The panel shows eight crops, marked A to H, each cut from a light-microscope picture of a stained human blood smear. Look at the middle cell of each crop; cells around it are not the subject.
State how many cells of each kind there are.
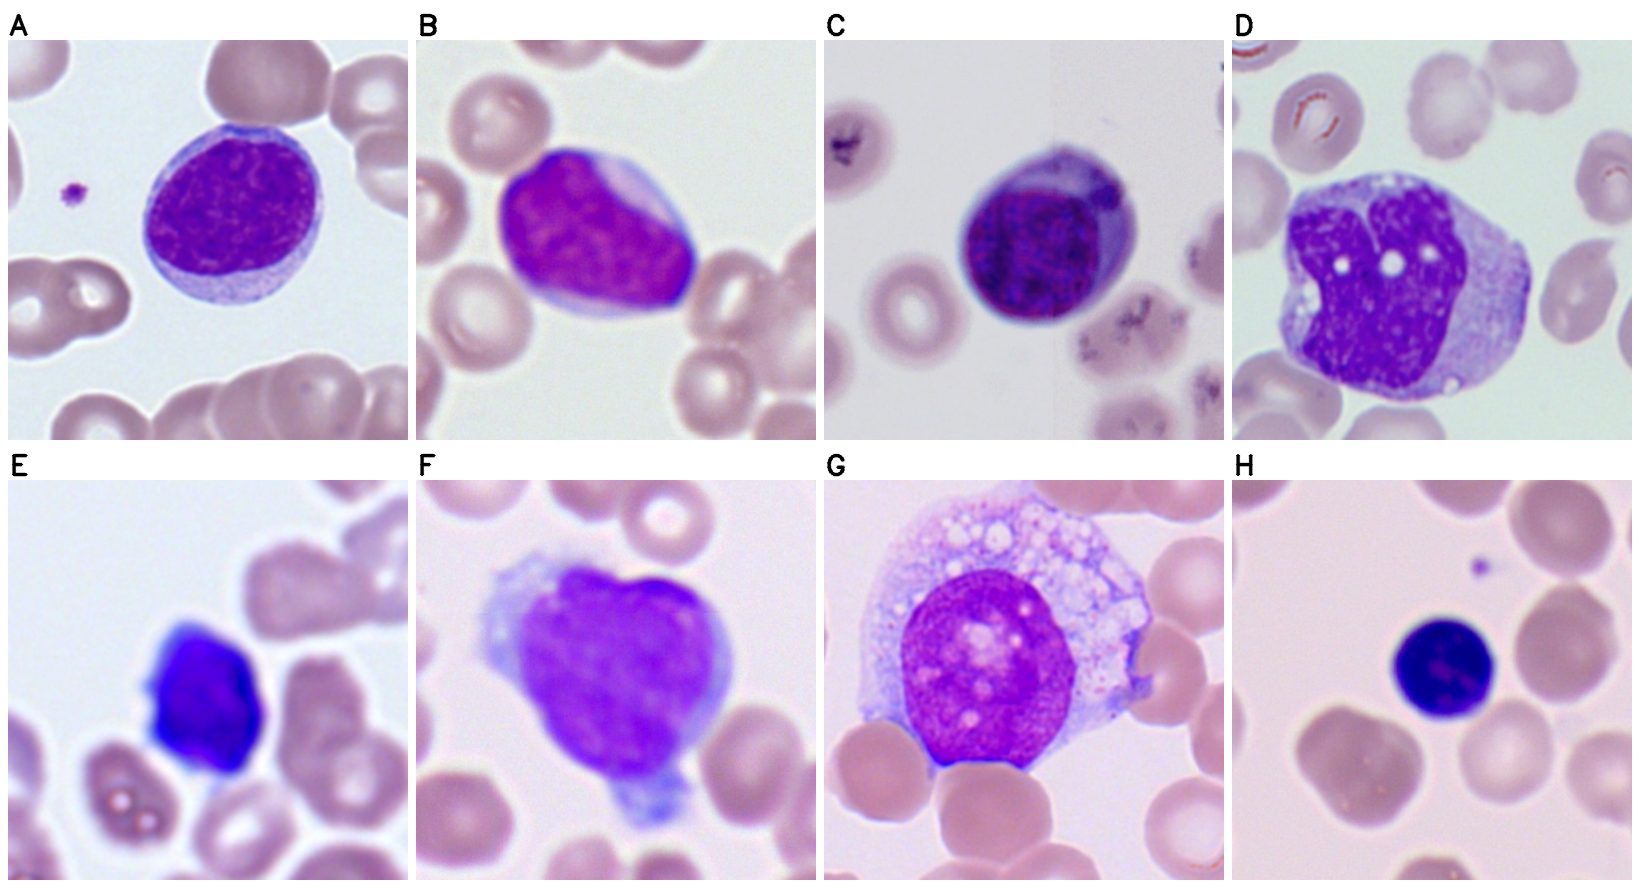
myeloblast: 3
lymphocyte: 3
monocyte: 2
